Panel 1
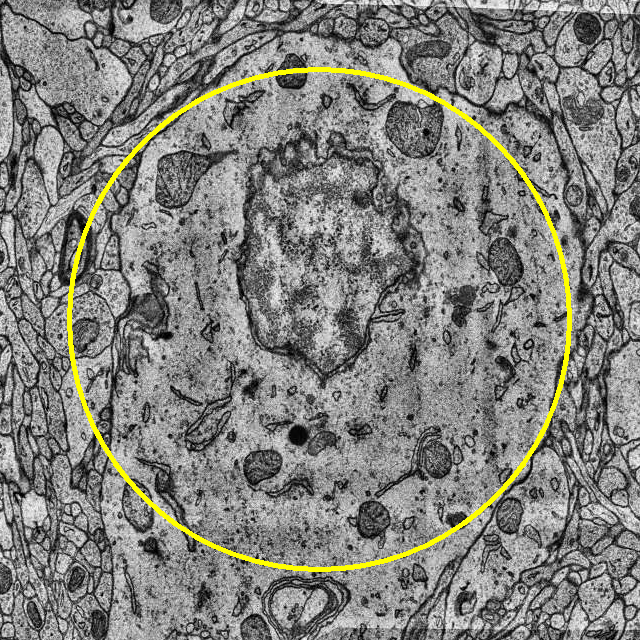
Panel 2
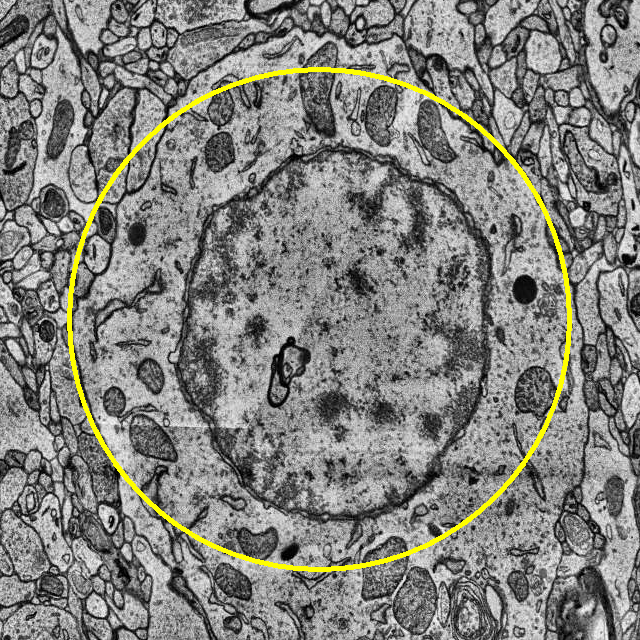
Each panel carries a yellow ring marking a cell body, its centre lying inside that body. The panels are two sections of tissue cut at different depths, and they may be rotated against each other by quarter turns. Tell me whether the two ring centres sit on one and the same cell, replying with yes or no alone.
no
